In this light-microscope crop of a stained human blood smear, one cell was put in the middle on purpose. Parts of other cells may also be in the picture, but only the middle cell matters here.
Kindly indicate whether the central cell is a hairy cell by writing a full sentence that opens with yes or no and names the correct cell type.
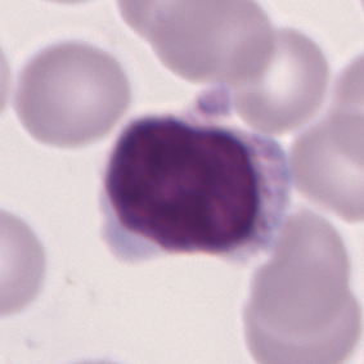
No, instead of a hairy cell, the middle cell is a typical lymphocyte.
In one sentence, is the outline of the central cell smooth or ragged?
An irregular outline, ragged or marked by projections, surrounds this cell.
